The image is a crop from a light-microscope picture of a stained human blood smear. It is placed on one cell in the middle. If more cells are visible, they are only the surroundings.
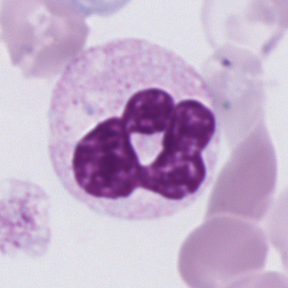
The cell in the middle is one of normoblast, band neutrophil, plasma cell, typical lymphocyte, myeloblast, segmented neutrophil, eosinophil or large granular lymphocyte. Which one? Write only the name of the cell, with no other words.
segmented neutrophil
